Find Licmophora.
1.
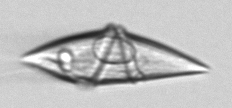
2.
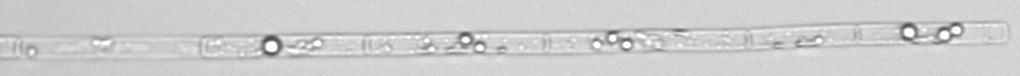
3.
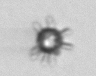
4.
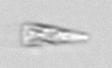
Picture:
4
